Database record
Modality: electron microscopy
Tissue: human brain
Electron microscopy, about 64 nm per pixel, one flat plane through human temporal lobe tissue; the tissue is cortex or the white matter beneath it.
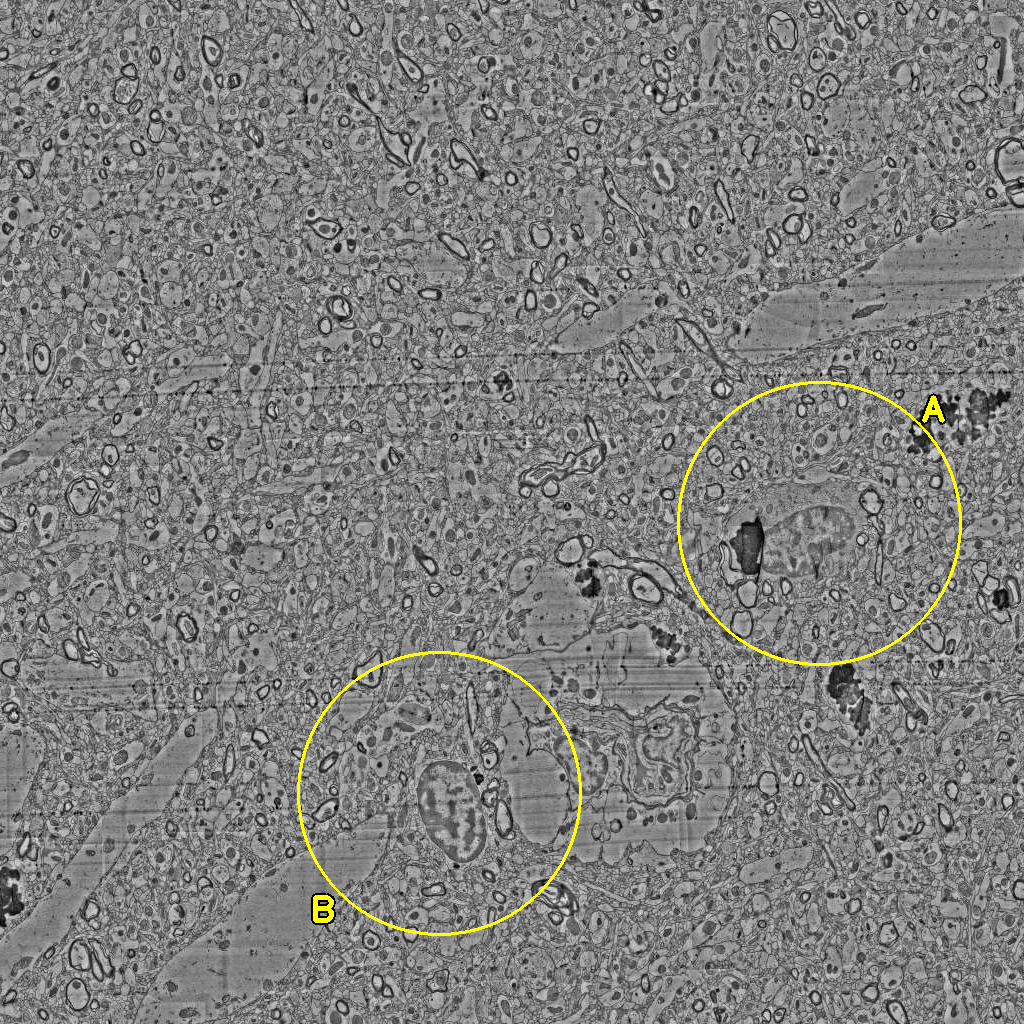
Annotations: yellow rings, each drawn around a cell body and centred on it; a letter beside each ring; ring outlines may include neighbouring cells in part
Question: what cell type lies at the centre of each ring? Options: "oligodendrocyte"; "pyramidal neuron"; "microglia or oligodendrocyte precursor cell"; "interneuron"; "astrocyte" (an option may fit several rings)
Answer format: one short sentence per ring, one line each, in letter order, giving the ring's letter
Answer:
Ring A corresponds to an oligodendrocyte.
Ring B corresponds to a microglial cell or oligodendrocyte precursor cell.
